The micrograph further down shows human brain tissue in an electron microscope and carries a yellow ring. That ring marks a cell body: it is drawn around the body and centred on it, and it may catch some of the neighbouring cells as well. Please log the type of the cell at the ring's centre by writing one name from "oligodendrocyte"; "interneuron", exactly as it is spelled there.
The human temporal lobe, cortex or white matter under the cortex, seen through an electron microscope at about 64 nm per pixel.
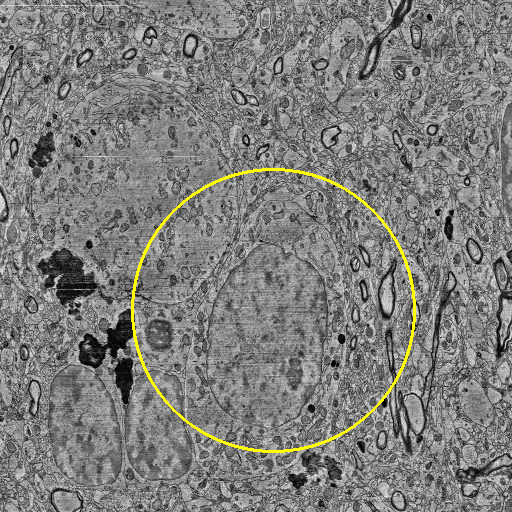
interneuron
